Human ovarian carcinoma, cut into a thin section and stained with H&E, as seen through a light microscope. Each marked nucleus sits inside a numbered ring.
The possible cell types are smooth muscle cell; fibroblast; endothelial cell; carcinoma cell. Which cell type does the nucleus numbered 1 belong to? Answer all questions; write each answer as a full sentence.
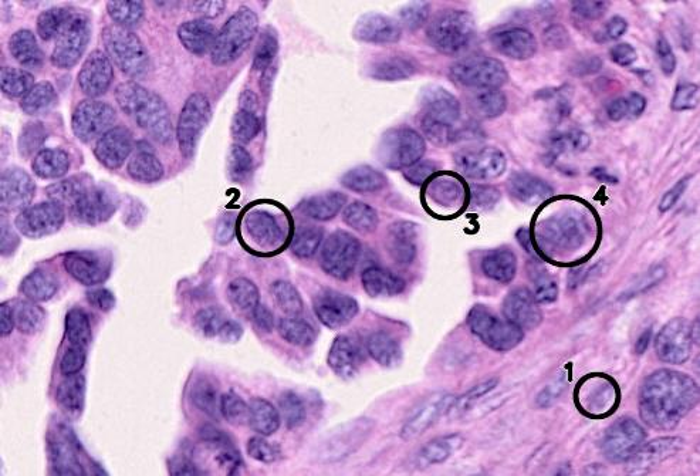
The cell to which the number 1 is assigned is a fibroblast.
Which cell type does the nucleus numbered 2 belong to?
Number 2 is placed on a carcinoma cell here.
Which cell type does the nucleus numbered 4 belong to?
Among the marked nuclei, number 4 belongs to a carcinoma cell.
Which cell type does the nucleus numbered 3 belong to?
Of the numbered cells, the one labelled 3 is a carcinoma cell.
